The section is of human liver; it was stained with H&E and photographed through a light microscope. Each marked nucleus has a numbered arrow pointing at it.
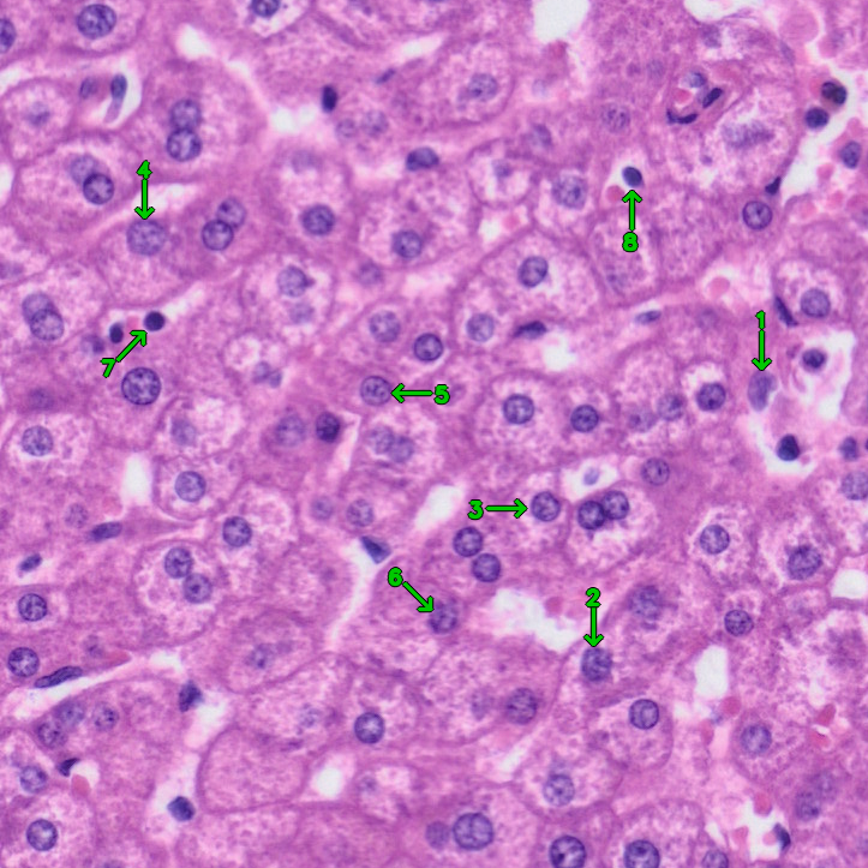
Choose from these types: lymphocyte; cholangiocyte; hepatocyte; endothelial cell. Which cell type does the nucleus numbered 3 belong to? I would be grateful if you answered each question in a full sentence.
The mark numbered 3 indicates the nucleus of a hepatocyte.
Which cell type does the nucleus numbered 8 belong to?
The cell that carries the label 8 is a lymphocyte.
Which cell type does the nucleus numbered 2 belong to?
Among the marked nuclei, number 2 belongs to a hepatocyte.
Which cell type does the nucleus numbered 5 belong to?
The cell bearing label 5 corresponds to a hepatocyte.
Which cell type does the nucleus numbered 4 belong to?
The cell indicated by marker 4 is a hepatocyte in this section.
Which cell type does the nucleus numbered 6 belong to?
Identified by the number 6, the cell is a hepatocyte.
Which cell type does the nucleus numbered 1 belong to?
Cell 1, among those numbered, is an endothelial cell.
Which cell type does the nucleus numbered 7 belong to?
Cell number 7 in this section is a lymphocyte.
